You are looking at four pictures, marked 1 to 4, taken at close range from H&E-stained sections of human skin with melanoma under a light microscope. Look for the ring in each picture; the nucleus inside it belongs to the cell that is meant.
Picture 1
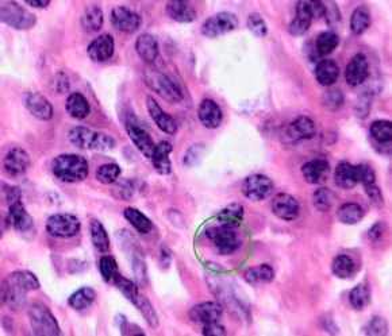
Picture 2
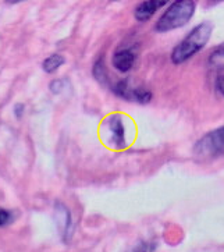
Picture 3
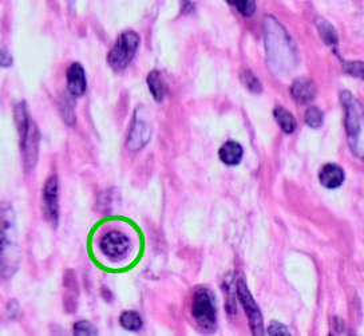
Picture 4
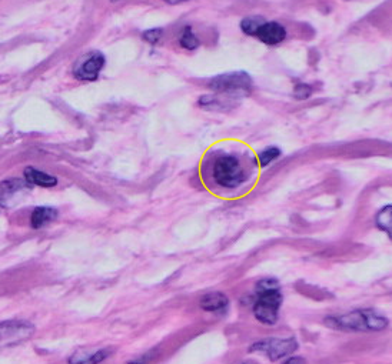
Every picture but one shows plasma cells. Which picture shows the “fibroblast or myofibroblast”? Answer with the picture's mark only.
2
